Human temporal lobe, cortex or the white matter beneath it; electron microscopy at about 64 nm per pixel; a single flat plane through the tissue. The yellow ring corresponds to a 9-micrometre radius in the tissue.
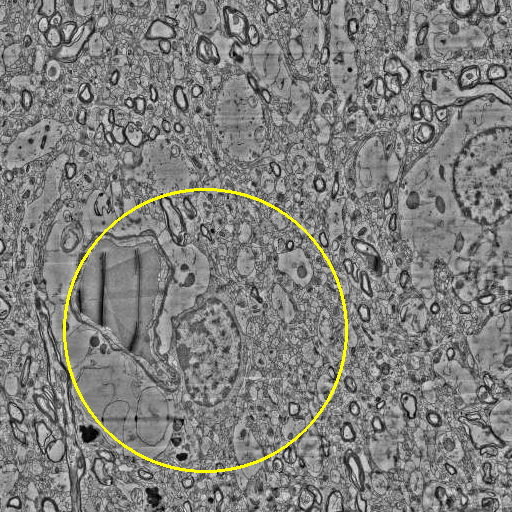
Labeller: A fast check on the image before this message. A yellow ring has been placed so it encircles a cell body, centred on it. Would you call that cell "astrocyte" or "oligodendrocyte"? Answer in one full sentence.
In this image, an oligodendrocyte is the cell on which the yellow ring is centred.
